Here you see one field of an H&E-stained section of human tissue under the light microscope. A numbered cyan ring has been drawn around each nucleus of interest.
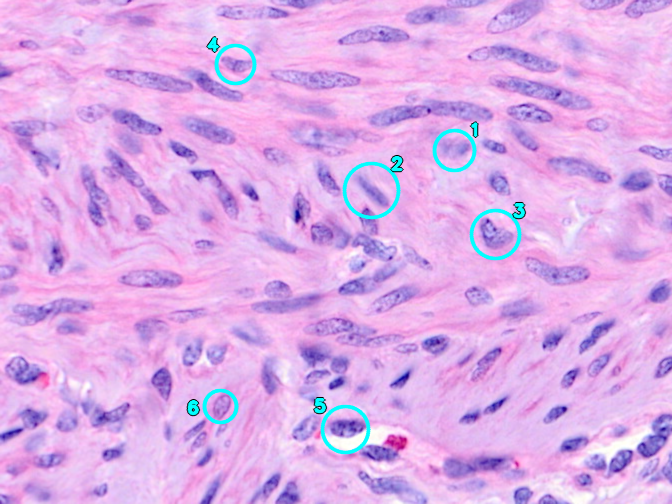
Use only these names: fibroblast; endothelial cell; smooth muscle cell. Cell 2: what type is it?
fibroblast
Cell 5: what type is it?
endothelial cell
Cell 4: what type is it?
smooth muscle cell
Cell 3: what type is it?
smooth muscle cell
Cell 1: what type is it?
smooth muscle cell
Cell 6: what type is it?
smooth muscle cell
